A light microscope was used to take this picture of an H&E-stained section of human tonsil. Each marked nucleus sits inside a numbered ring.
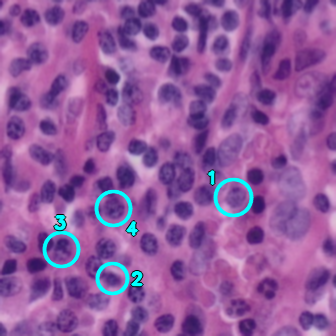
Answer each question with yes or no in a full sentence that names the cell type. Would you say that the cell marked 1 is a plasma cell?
No, number 1 points to an endothelial cell and not to a plasma cell.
